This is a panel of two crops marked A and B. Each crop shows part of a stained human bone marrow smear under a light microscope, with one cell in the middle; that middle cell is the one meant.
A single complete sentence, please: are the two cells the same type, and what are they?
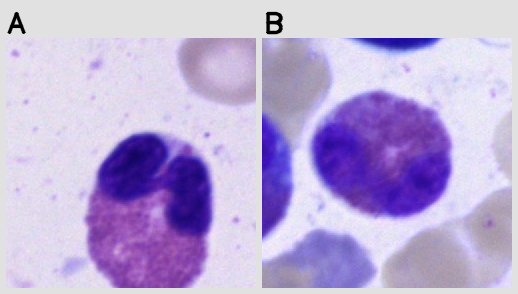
Yes, eosinophils are the cells shown in both crops.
